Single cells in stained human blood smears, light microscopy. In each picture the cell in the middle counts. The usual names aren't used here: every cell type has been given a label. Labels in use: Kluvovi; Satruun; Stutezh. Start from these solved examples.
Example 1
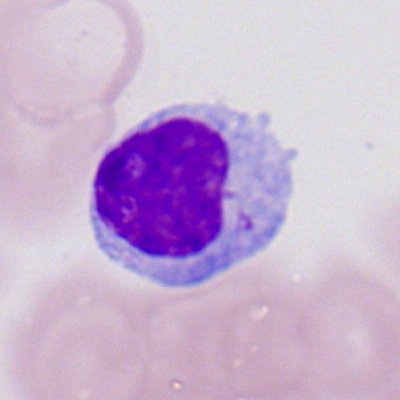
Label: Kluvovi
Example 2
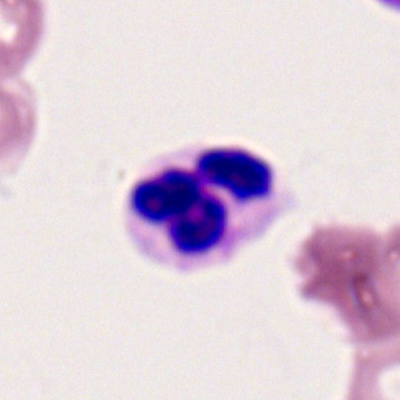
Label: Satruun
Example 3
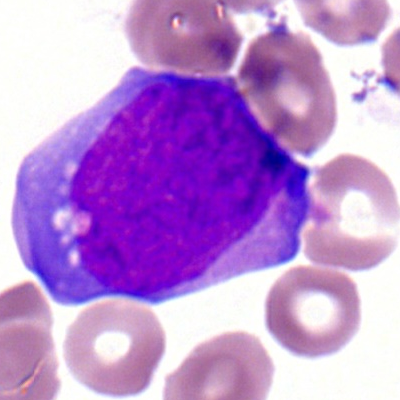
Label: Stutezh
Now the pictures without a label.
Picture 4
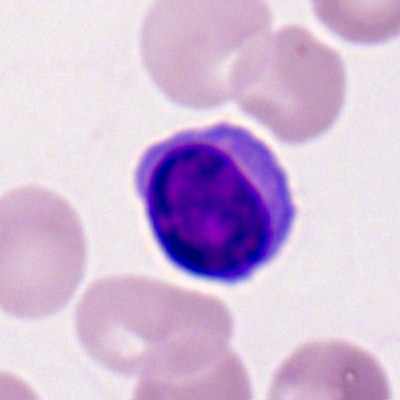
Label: Kluvovi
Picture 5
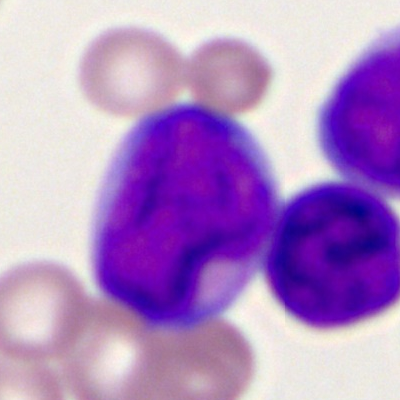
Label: Stutezh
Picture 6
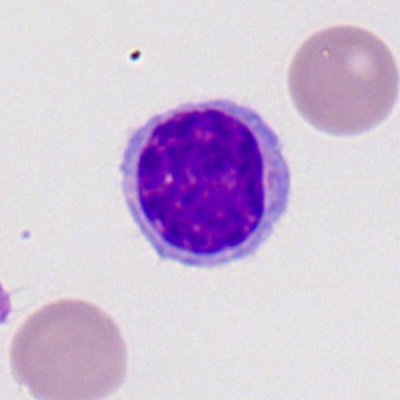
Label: Kluvovi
